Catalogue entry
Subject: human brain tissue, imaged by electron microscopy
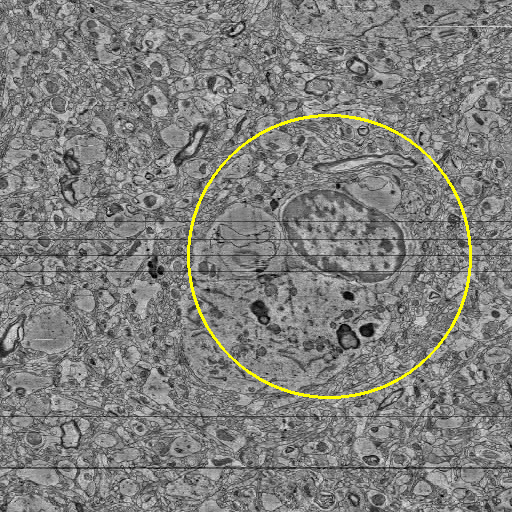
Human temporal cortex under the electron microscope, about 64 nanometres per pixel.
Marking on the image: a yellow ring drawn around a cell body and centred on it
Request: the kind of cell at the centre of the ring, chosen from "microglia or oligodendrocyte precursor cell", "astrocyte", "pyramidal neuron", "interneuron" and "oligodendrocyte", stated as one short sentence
The ring has a microglial cell or oligodendrocyte precursor cell at its centre.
